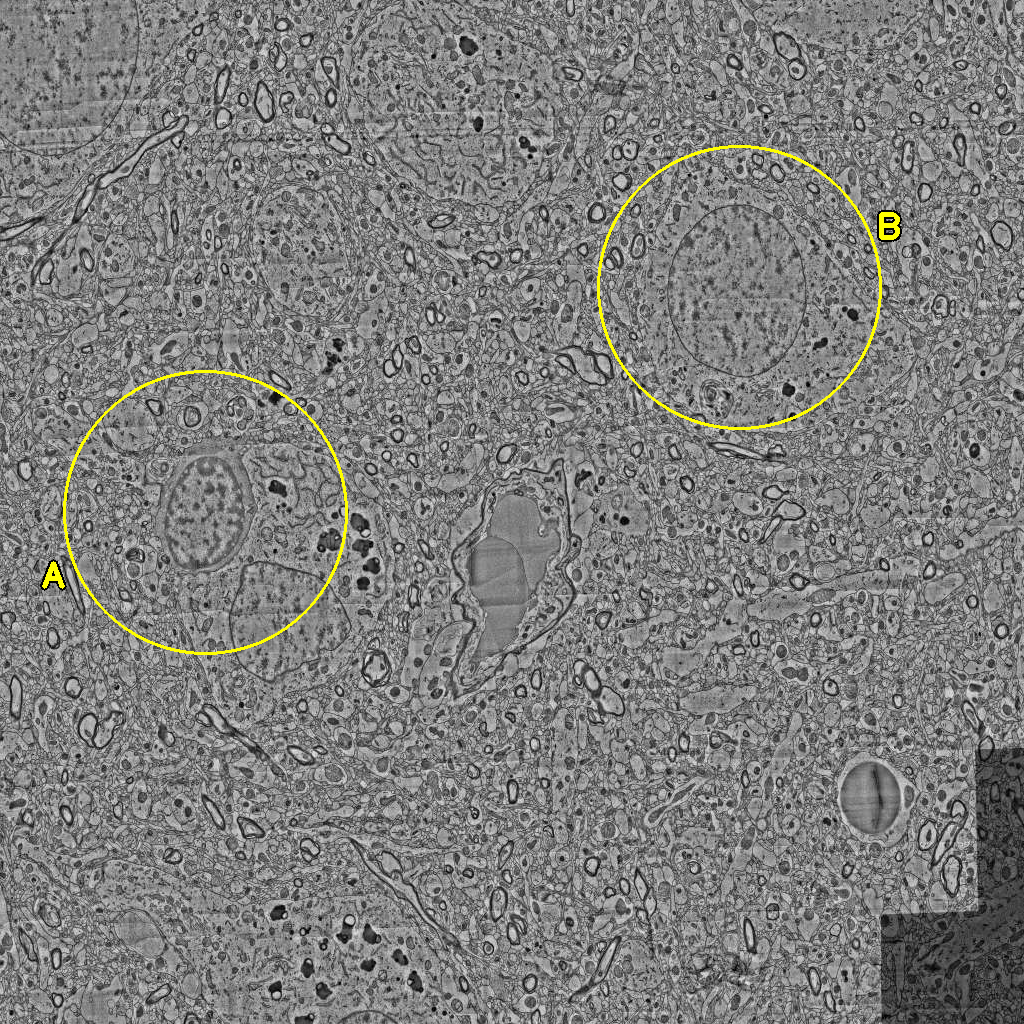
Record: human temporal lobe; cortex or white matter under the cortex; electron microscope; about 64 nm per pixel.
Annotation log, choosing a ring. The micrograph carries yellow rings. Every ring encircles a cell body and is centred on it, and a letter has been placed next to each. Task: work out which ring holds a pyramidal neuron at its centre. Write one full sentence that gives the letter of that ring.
In the micrograph, the ring centred on the cell asked for carries the letter B.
